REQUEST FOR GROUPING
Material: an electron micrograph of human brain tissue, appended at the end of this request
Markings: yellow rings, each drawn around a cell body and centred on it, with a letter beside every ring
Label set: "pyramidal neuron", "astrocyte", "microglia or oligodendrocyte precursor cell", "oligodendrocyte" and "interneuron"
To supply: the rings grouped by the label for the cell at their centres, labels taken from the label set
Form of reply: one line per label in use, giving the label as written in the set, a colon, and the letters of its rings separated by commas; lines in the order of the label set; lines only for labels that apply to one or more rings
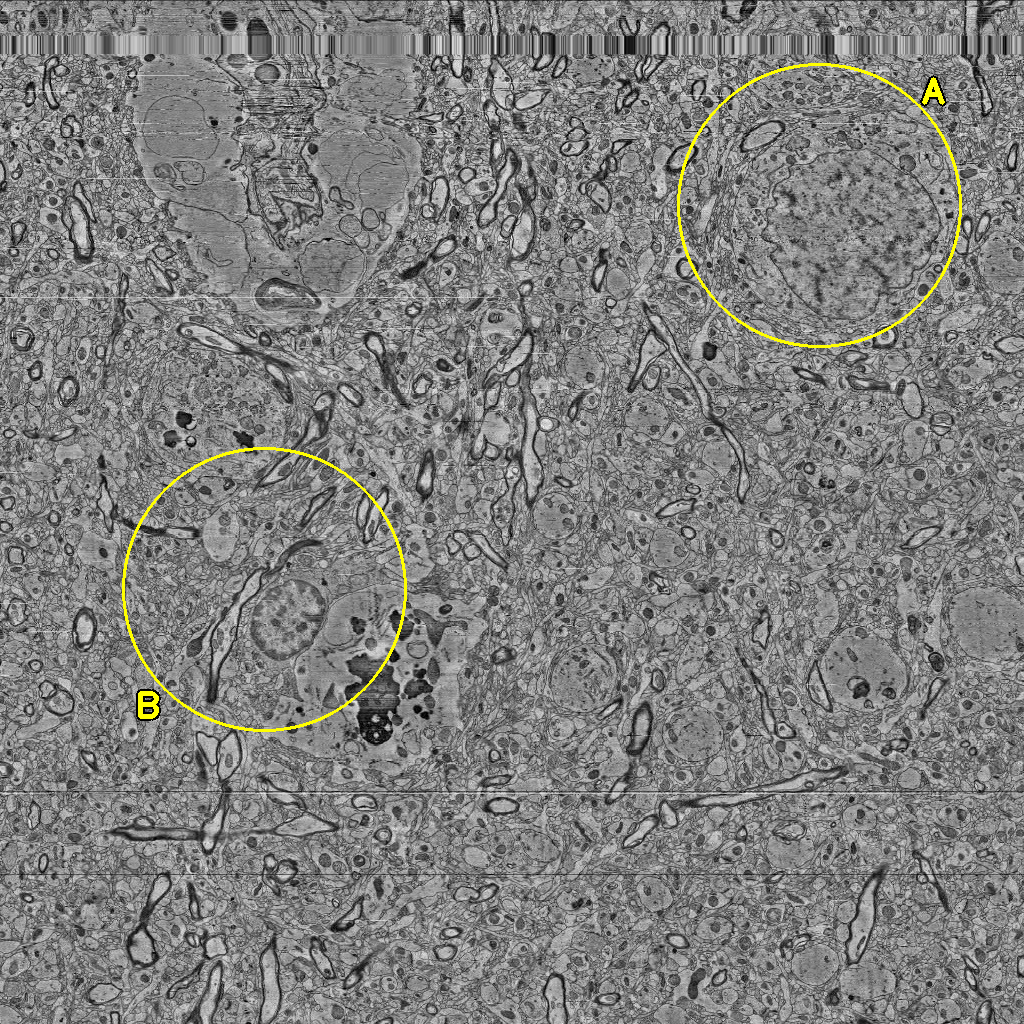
pyramidal neuron: A
oligodendrocyte: B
